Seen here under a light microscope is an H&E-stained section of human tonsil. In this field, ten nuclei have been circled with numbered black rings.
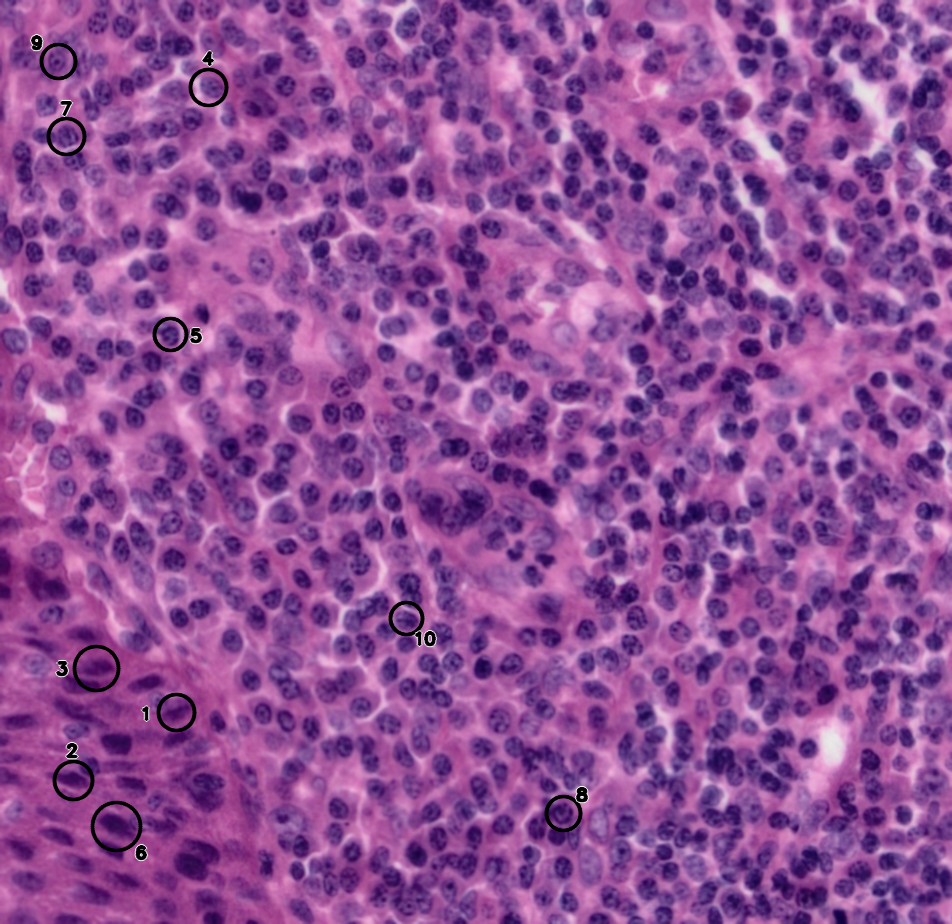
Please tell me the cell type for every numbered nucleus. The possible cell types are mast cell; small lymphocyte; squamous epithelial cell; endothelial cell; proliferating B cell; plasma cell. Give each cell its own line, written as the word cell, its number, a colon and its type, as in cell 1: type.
cell 1: squamous epithelial cell
cell 2: squamous epithelial cell
cell 3: squamous epithelial cell
cell 4: plasma cell
cell 5: plasma cell
cell 6: squamous epithelial cell
cell 7: plasma cell
cell 8: plasma cell
cell 9: plasma cell
cell 10: plasma cell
